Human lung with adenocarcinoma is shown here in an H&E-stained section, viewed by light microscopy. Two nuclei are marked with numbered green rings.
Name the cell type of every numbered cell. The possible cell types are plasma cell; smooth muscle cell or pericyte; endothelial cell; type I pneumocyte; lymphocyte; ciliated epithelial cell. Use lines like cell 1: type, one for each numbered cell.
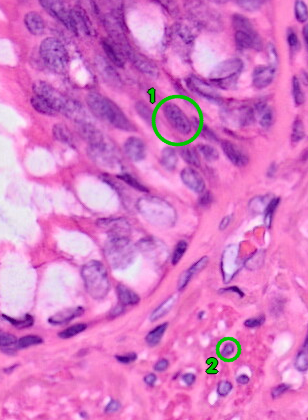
cell 1: ciliated epithelial cell
cell 2: smooth muscle cell or pericyte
